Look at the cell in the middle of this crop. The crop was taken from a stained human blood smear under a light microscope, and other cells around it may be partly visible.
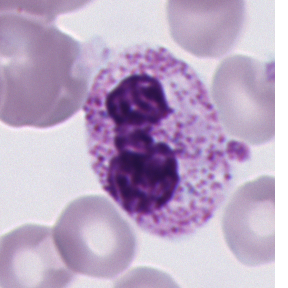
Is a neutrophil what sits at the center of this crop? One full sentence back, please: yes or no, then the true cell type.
Yes, the cell in the middle has the identity of a neutrophil.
